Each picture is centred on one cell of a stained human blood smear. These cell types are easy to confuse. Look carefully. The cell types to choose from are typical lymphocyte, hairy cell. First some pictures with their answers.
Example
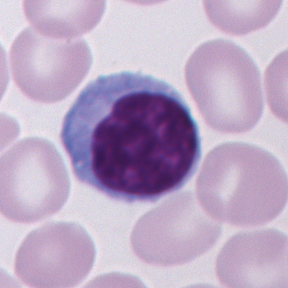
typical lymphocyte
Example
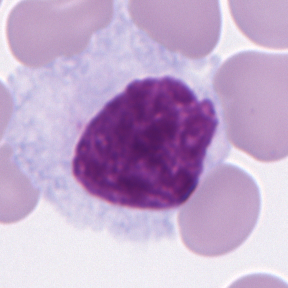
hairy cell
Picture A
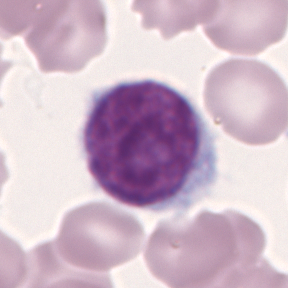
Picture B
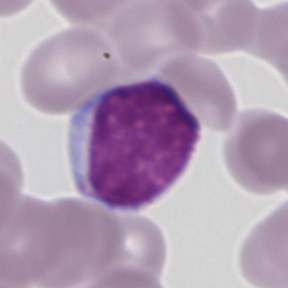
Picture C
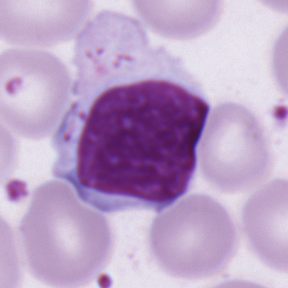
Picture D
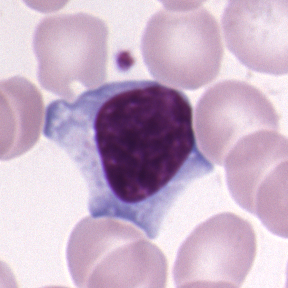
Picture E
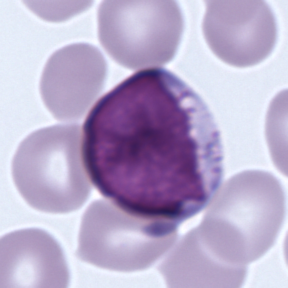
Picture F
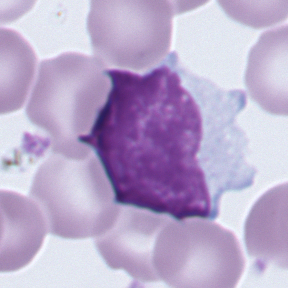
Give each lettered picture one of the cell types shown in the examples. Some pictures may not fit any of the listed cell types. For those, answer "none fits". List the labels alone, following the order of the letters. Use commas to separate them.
hairy cell, none fits, none fits, typical lymphocyte, none fits, typical lymphocyte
